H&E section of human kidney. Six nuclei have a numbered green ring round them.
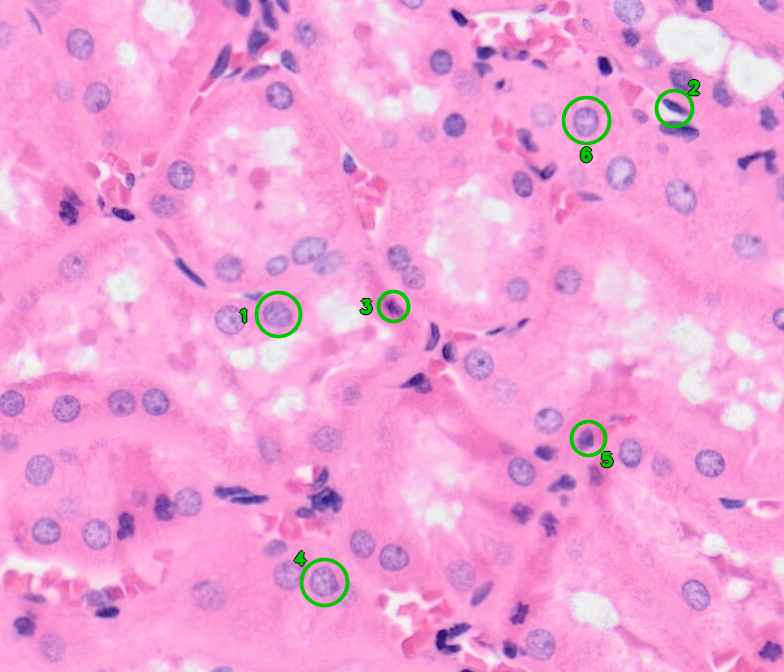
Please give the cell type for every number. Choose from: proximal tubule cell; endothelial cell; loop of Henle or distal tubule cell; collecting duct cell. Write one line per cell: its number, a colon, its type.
1: proximal tubule cell
2: endothelial cell
3: proximal tubule cell
4: proximal tubule cell
5: endothelial cell
6: proximal tubule cell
